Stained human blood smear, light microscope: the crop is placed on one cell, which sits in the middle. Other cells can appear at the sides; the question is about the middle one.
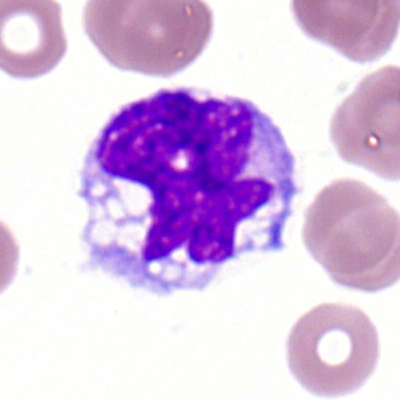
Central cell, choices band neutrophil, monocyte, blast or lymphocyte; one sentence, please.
Here the cell in the middle is a monocyte.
